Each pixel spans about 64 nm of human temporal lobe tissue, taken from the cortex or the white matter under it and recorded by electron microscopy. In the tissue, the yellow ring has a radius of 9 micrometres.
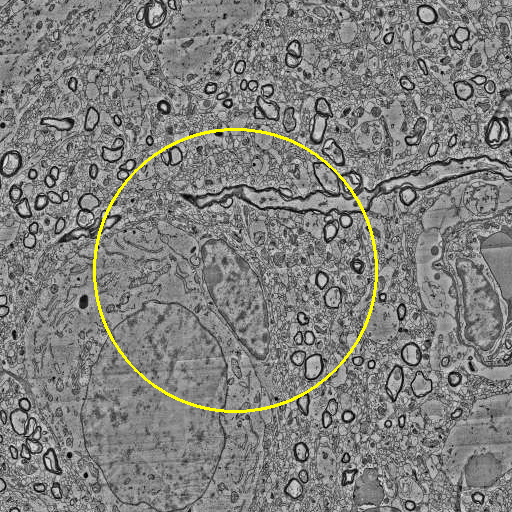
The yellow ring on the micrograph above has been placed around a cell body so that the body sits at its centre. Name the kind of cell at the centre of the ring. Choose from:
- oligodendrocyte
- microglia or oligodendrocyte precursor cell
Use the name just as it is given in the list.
microglia or oligodendrocyte precursor cell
